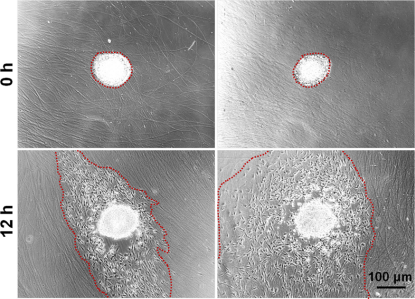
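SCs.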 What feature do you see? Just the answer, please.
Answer: Cell spheroids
